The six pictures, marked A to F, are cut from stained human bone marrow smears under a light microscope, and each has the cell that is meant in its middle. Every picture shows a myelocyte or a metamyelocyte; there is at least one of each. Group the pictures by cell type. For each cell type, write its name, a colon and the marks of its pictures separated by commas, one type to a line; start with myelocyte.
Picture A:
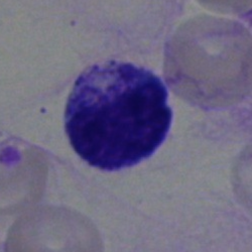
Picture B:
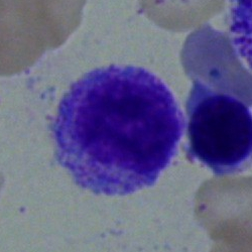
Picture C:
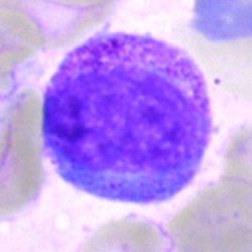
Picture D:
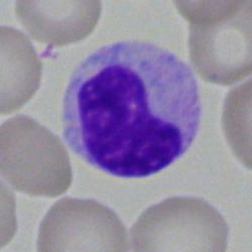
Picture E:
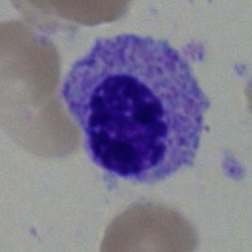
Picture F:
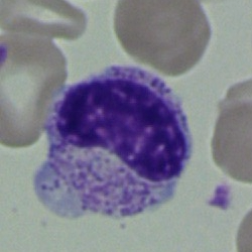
myelocyte: A, B, C, E
metamyelocyte: D, F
